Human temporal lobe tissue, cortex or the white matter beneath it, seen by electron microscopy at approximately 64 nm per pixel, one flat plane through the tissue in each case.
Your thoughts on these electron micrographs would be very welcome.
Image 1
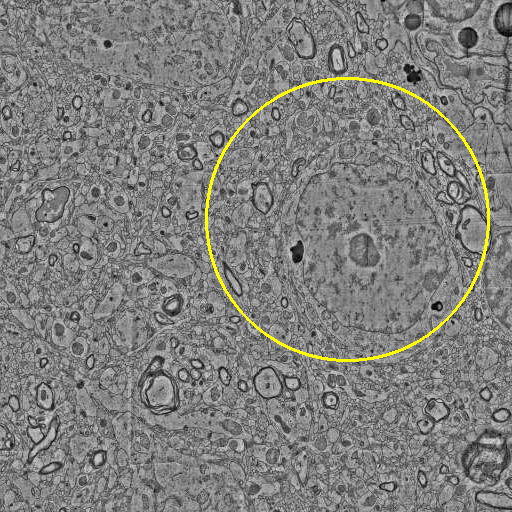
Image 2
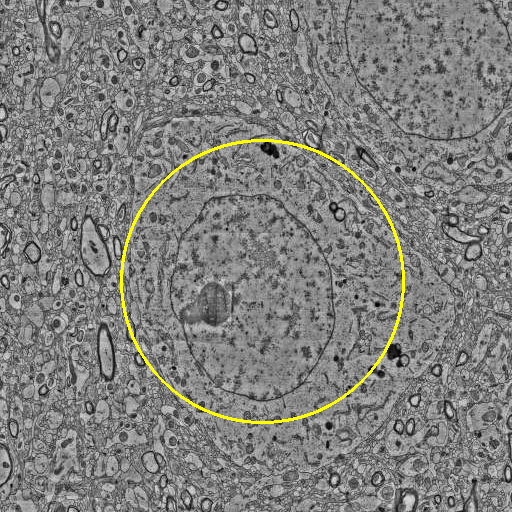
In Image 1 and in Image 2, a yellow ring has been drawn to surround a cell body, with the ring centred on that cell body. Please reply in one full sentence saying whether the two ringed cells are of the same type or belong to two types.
The ringed cells in Image 1 and Image 2 are of the same type.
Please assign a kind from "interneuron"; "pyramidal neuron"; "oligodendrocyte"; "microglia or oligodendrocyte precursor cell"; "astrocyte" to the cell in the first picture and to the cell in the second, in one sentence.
Each of the ringed cells, first and second, is a pyramidal neuron.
